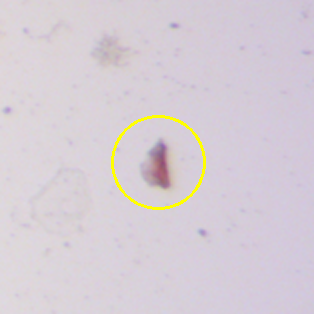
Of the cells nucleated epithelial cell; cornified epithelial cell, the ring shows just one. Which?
The ring shows a cornified epithelial cell.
